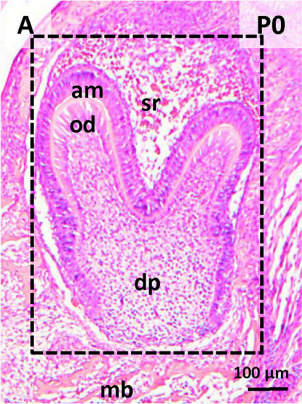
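A developing molar tooth germ with two cusps, in which a layer of tall columnar ameloblasts with purple nuclei covers a parallel layer of elongated odontoblasts along the cusp outline. Between the cusps and above the epithelium lies loosely arranged stellate reticulum, while the dense, cell-rich dental pulp fills the core of the germ, set in surrounding tissue with mandibular bone below.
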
